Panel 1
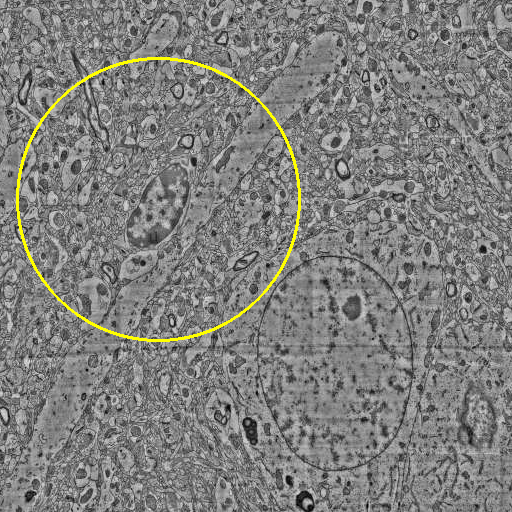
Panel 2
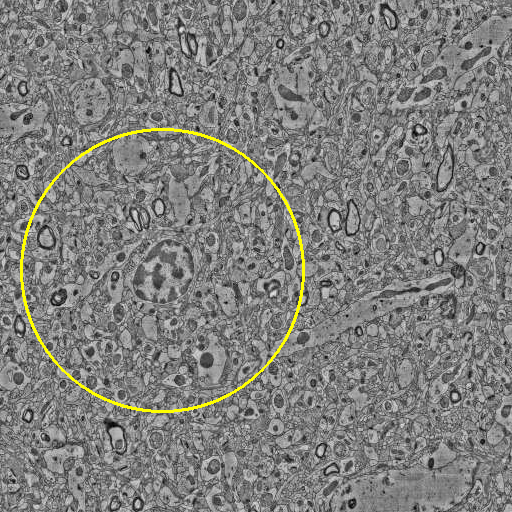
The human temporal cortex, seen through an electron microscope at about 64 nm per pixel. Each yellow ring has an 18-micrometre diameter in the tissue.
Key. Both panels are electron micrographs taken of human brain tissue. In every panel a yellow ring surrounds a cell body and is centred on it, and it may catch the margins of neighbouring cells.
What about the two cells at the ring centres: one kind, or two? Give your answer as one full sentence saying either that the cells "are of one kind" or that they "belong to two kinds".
Across Panels 1 and 2, the two cells at the ring centres are of one kind.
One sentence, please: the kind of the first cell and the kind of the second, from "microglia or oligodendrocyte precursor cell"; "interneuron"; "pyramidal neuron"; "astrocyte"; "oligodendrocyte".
In the first picture and in the second, the ring is centred on a microglial cell or oligodendrocyte precursor cell.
